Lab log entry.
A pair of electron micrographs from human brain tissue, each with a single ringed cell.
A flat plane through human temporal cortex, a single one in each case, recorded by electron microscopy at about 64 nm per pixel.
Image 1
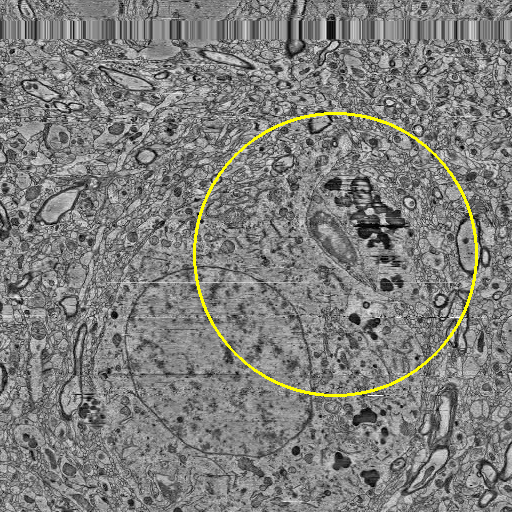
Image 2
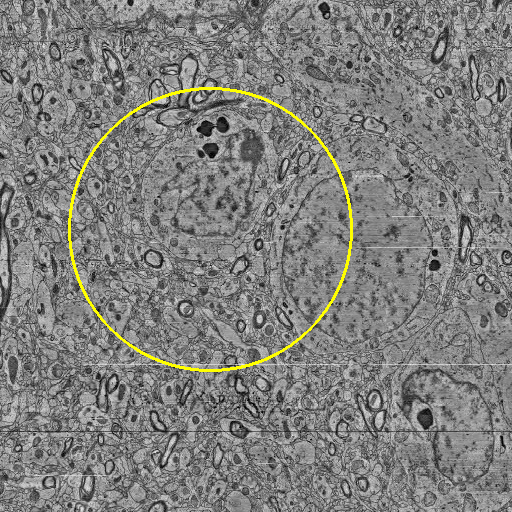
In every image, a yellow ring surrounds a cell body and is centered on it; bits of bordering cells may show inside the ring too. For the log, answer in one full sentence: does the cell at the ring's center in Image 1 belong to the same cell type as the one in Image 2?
No, the cells at the ring centers in Image 1 and Image 2 are of separate types.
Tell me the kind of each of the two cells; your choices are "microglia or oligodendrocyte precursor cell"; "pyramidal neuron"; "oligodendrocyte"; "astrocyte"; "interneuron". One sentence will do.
The ringed cell is an oligodendrocyte in the first picture and an interneuron in the second picture.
